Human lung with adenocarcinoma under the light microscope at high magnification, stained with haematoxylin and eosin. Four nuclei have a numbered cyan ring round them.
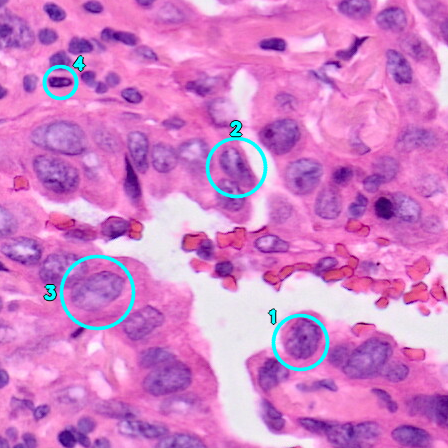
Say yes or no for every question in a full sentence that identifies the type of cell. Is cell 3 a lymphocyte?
No, cell 3 is correctly identified as a carcinoma cell and not as a lymphocyte.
